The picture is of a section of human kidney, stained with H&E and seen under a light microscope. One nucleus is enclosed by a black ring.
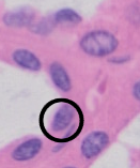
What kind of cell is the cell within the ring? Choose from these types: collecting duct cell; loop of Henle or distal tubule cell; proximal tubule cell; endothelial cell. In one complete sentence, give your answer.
It is as a loop of Henle or distal tubule cell that the cell within the ring is classified.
